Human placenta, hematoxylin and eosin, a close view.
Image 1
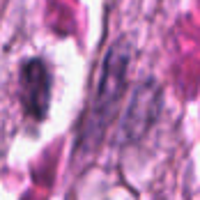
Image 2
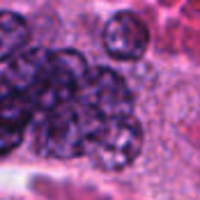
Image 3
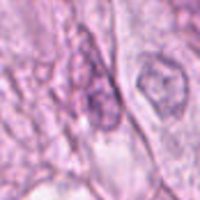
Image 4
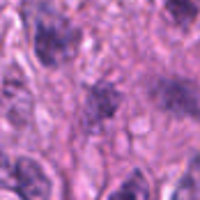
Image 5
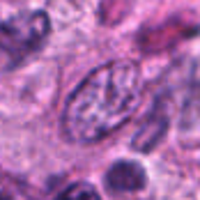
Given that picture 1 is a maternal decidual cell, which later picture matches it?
3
